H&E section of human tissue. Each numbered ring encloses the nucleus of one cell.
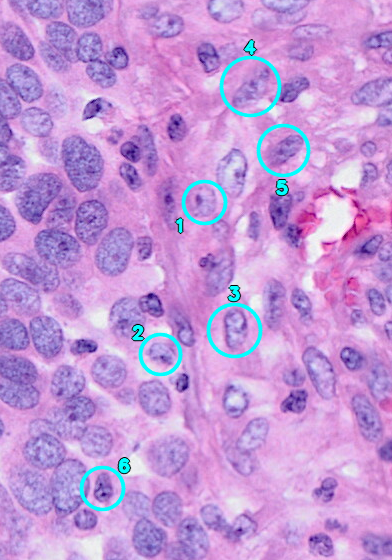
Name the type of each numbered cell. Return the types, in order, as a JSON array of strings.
["fibroblast", "macrophage or monocyte", "fibroblast", "fibroblast", "fibroblast", "macrophage or monocyte"]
